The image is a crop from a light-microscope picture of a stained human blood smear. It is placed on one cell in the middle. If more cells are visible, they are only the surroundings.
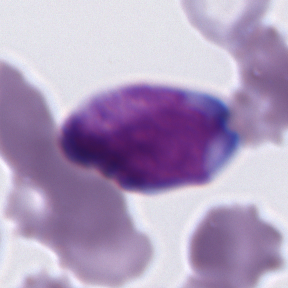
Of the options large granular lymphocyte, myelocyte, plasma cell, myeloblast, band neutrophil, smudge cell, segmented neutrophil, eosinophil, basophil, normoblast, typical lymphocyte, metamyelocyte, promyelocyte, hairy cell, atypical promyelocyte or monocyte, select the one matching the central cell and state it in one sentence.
Regarding the central cell, it is a myeloblast.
